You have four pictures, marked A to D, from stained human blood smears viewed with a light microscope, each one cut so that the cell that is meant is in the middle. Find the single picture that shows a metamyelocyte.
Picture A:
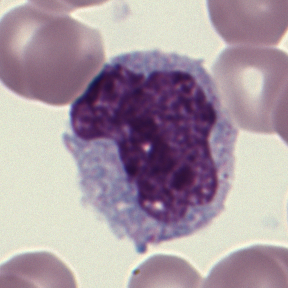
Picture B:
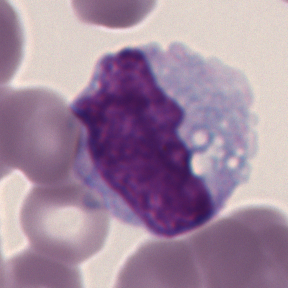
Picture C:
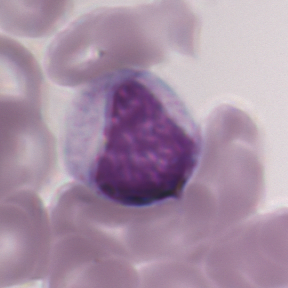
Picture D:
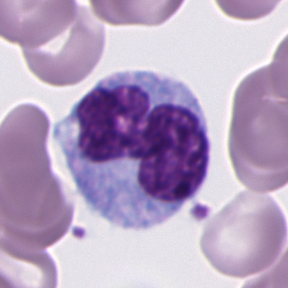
C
